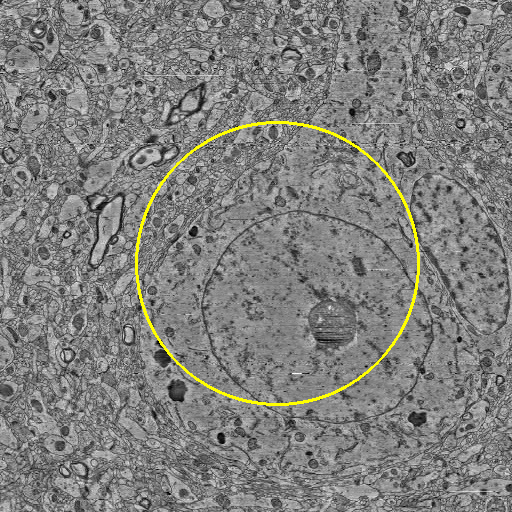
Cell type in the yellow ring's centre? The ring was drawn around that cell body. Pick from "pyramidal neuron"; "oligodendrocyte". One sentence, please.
The ringed cell body is that of a pyramidal neuron.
